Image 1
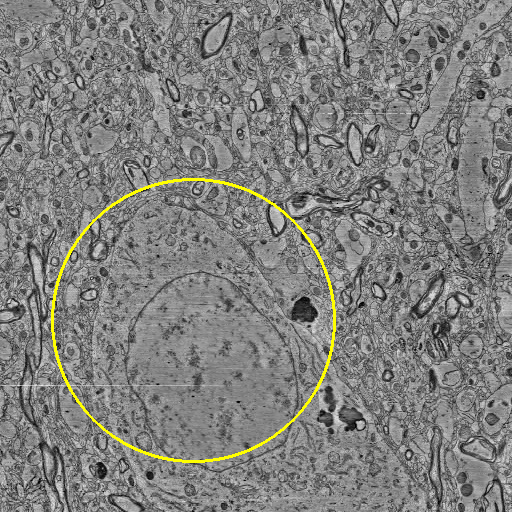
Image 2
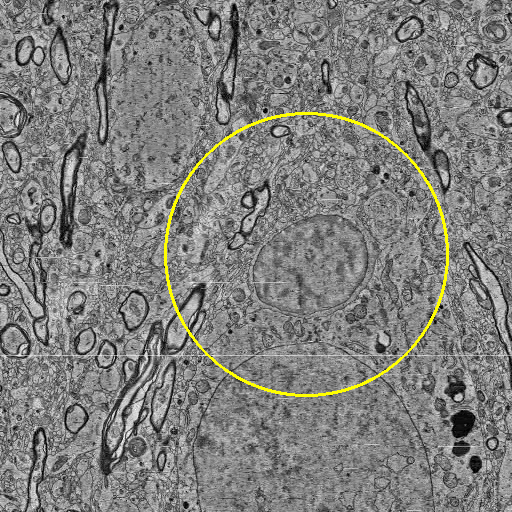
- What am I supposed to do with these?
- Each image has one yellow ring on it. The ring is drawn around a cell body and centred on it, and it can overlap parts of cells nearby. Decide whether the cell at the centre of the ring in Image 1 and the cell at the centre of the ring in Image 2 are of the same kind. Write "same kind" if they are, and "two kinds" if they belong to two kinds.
two kinds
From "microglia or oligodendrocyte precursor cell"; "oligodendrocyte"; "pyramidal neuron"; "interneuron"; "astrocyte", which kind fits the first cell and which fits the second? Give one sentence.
The cell marked in the first picture is a pyramidal neuron, and the one marked in the second is an oligodendrocyte.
